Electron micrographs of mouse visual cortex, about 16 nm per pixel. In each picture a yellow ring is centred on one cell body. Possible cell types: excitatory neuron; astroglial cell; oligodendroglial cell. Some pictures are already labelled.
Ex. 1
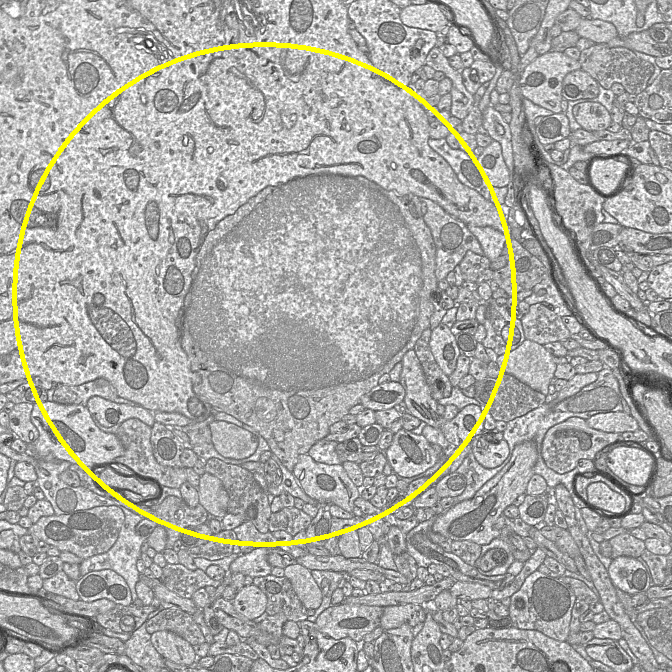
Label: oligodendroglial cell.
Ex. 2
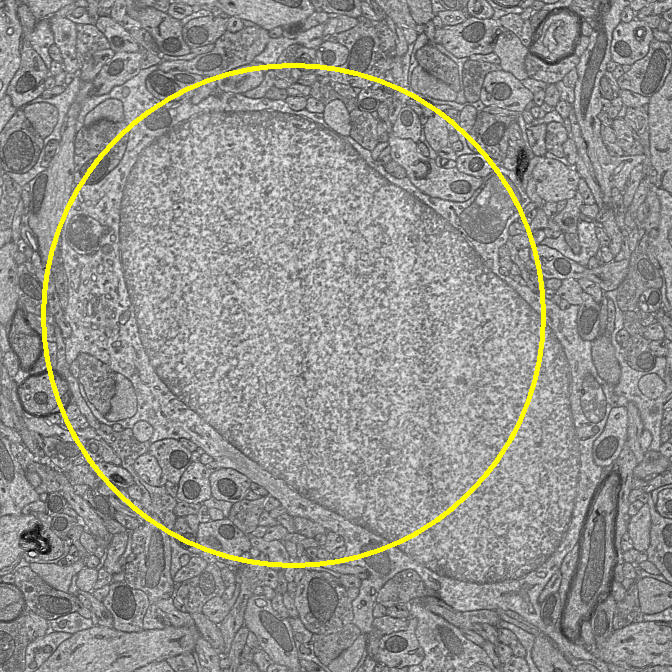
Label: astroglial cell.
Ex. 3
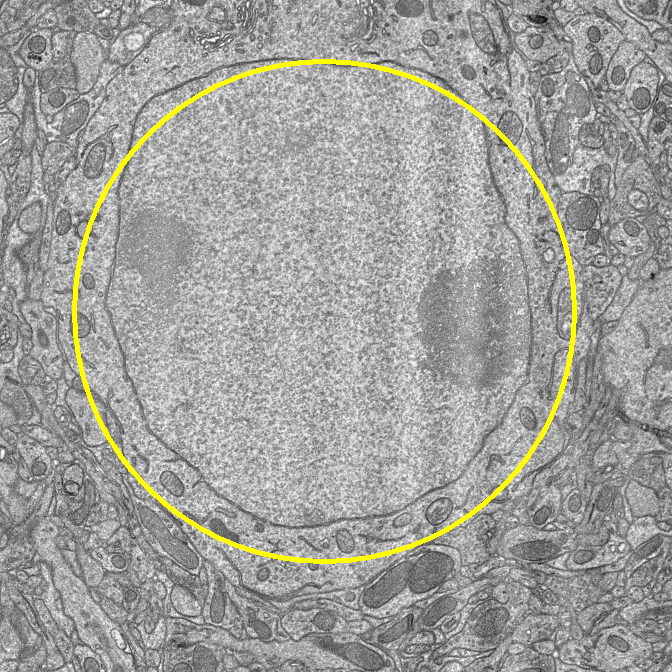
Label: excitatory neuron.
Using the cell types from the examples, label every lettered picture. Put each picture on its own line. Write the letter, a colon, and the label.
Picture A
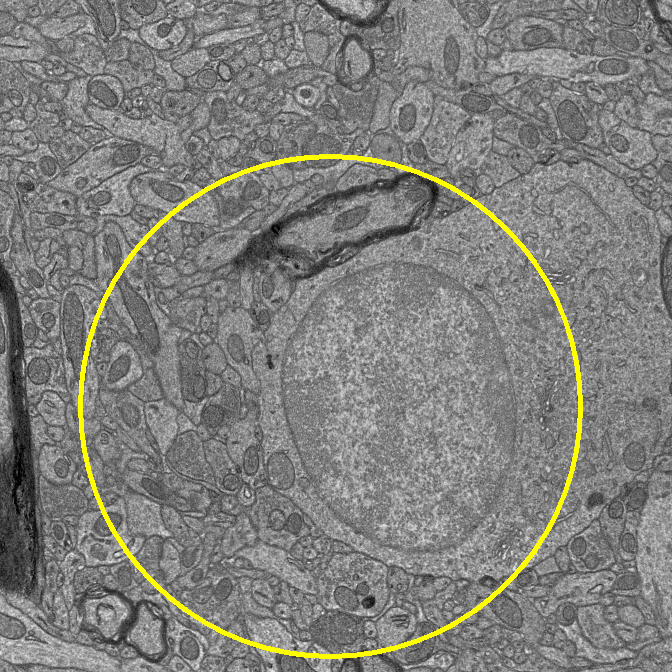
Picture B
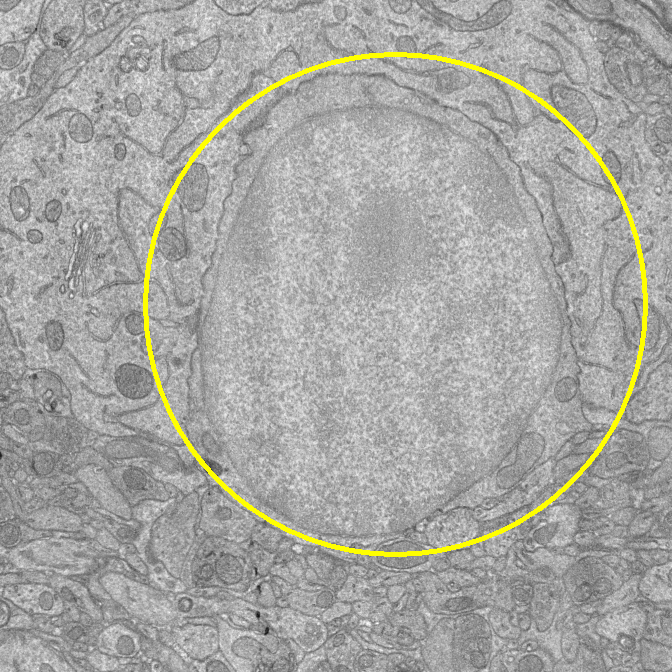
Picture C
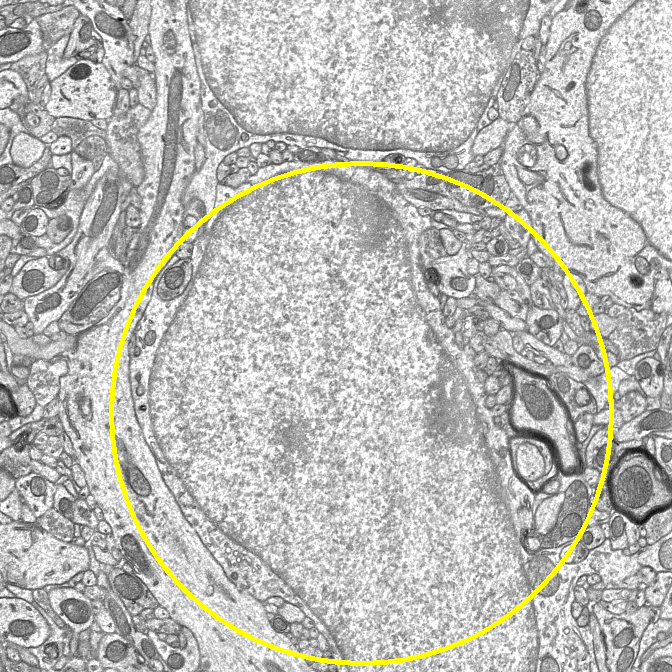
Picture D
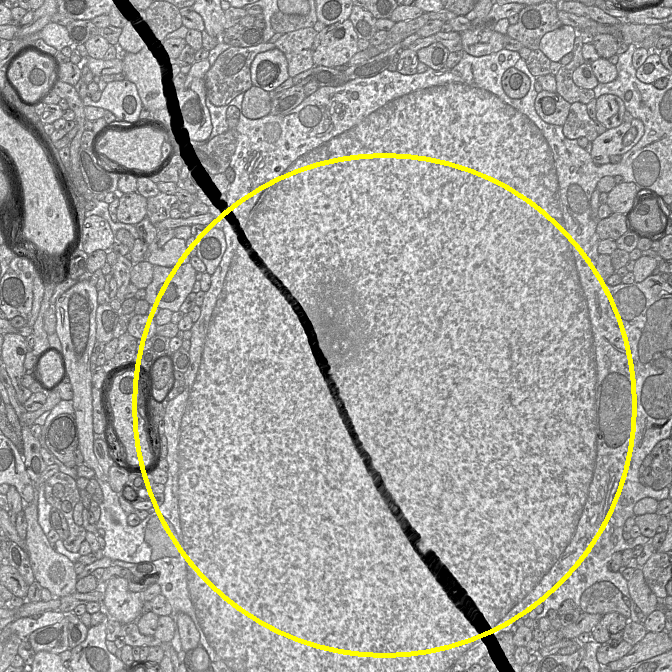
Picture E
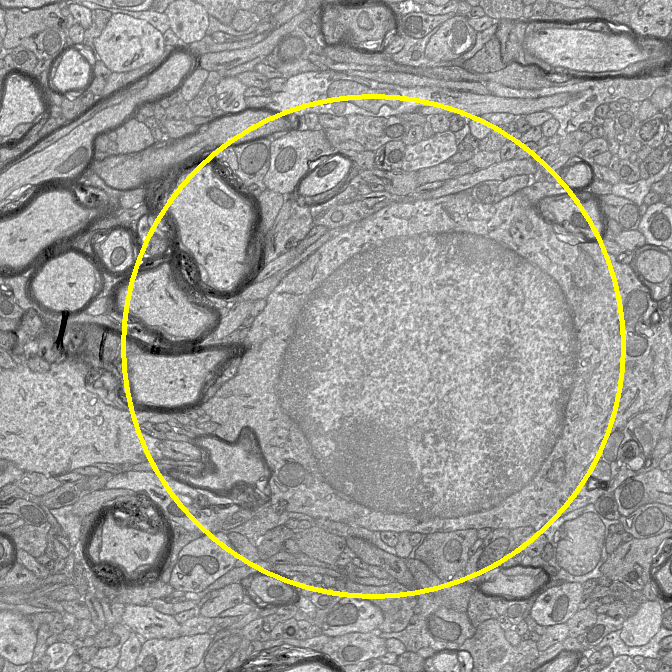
A: oligodendroglial cell.
B: oligodendroglial cell.
C: astroglial cell.
D: astroglial cell.
E: oligodendroglial cell.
